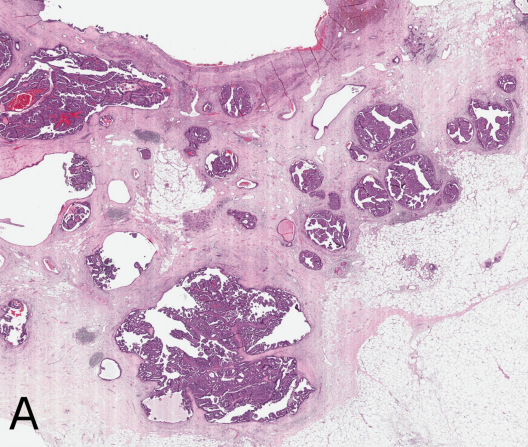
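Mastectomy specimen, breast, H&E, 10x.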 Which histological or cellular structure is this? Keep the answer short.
Duct/cyst-like spaces with dense papillary architecture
